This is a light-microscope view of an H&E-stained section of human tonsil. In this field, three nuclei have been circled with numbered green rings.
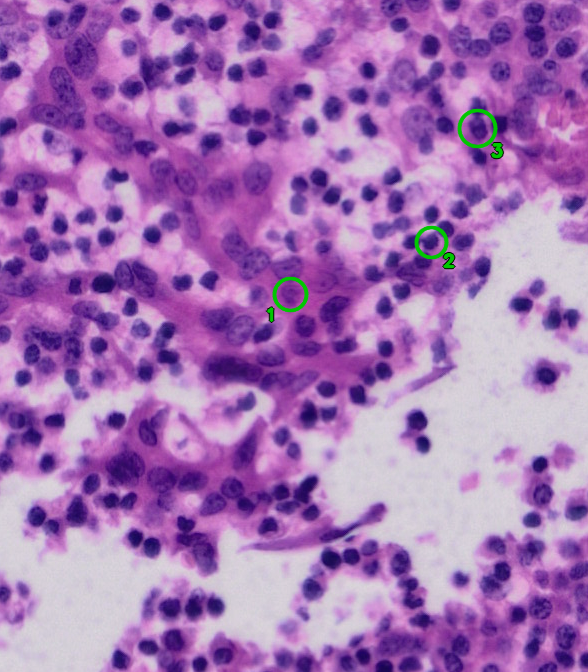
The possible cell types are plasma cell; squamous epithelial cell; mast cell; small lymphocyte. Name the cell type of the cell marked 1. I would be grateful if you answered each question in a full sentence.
The cell referenced by the number 1 is a squamous epithelial cell in this field.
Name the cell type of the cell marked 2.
The expected answer is that cell 2 is a small lymphocyte.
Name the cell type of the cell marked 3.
As for number 3, that cell is a plasma cell.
